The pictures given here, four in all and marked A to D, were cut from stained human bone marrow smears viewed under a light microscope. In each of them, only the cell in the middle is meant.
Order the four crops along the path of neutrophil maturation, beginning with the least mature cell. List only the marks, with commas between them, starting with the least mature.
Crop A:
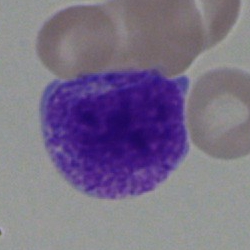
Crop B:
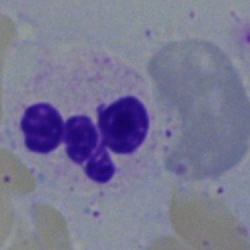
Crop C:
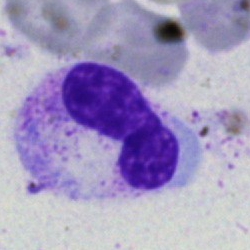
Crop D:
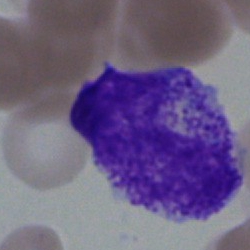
A, D, C, B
